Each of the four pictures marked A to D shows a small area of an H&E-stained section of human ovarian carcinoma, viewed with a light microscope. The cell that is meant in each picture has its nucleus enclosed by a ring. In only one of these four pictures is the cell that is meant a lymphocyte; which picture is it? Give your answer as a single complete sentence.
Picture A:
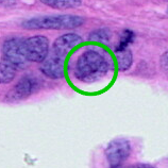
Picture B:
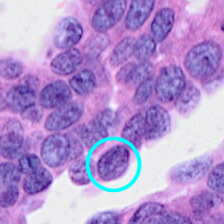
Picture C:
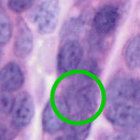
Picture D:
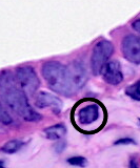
It is picture D that shows the lymphocyte.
